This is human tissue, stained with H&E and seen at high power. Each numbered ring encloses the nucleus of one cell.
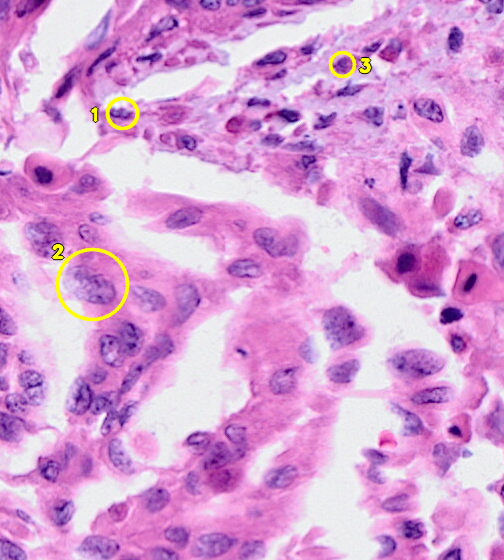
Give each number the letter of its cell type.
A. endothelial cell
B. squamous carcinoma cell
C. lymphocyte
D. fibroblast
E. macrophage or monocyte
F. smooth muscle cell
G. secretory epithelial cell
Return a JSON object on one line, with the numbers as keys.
{"1": "D", "2": "B", "3": "D"}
